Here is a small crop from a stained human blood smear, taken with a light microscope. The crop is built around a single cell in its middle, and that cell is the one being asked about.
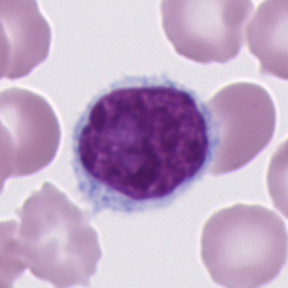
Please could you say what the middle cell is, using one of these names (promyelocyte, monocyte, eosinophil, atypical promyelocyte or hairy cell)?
hairy cell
